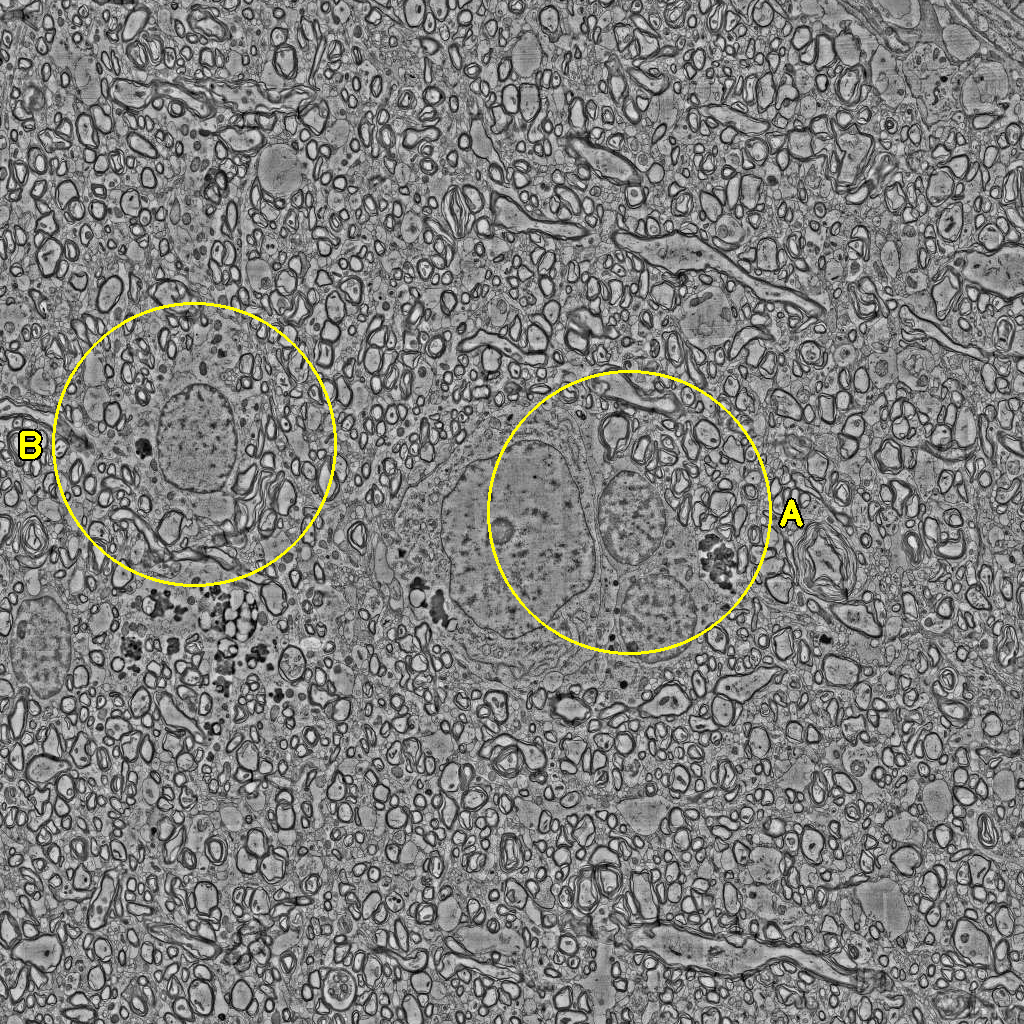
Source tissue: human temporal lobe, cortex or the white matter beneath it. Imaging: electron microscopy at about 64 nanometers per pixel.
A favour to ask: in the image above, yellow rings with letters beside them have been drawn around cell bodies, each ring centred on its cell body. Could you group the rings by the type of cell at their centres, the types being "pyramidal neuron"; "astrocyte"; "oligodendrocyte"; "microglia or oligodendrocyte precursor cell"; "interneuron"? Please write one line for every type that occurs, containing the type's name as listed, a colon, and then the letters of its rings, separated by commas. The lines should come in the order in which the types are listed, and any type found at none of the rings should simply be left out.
astrocyte: B
oligodendrocyte: A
